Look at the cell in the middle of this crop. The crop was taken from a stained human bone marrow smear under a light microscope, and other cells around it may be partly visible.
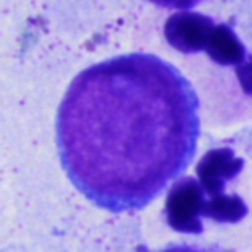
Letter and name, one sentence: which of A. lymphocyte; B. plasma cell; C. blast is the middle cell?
Correctly, option C names the cell in the middle a blast.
